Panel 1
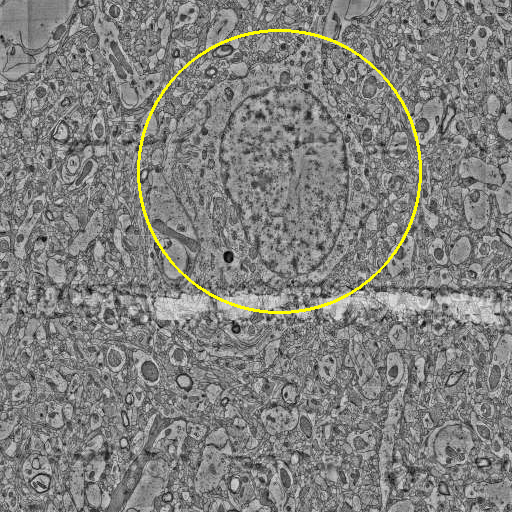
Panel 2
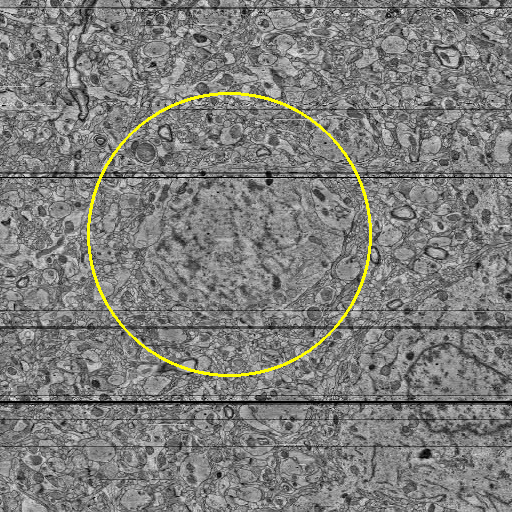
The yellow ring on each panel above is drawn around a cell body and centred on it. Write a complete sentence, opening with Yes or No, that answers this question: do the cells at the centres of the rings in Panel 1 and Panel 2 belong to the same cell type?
Yes, both cells belong to the same cell type.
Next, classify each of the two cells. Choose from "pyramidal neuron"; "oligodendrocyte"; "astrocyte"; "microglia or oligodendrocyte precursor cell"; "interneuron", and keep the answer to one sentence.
The cell in the first picture is an interneuron, and so is the one in the second.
